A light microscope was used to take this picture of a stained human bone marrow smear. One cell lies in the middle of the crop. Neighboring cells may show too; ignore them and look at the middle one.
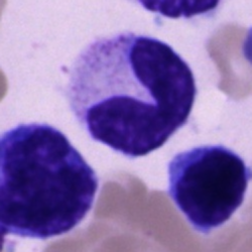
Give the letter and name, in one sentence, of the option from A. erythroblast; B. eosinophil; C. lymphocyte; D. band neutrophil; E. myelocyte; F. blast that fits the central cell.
Option D is correct, naming the cell in the middle as a band neutrophil.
